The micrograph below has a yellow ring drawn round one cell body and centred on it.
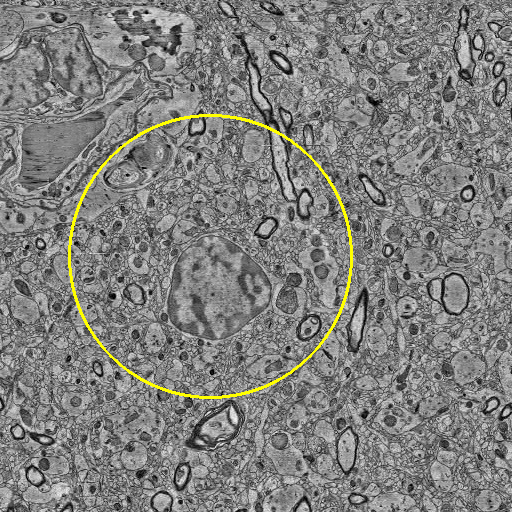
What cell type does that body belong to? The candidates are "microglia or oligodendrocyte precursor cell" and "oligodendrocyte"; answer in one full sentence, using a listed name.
This is a microglial cell or oligodendrocyte precursor cell, the cell whose body lies at the centre of the ring.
